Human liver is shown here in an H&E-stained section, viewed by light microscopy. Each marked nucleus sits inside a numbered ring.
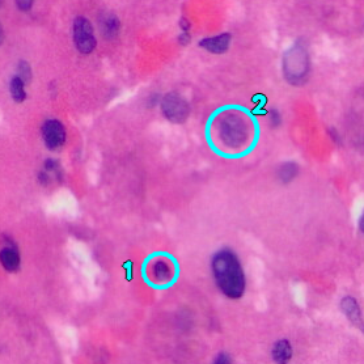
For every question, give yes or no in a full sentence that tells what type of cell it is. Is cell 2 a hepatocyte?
Yes, the cell that the number 2 labels is a hepatocyte.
